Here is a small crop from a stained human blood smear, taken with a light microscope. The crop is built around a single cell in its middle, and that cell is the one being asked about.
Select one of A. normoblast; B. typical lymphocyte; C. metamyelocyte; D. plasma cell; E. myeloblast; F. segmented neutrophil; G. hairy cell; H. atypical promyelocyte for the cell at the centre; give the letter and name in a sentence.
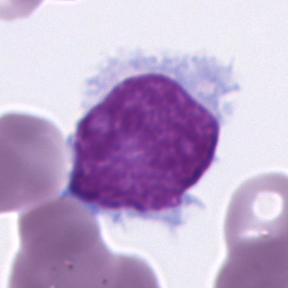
The cell right in the middle is a hairy cell, so option G is the one.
